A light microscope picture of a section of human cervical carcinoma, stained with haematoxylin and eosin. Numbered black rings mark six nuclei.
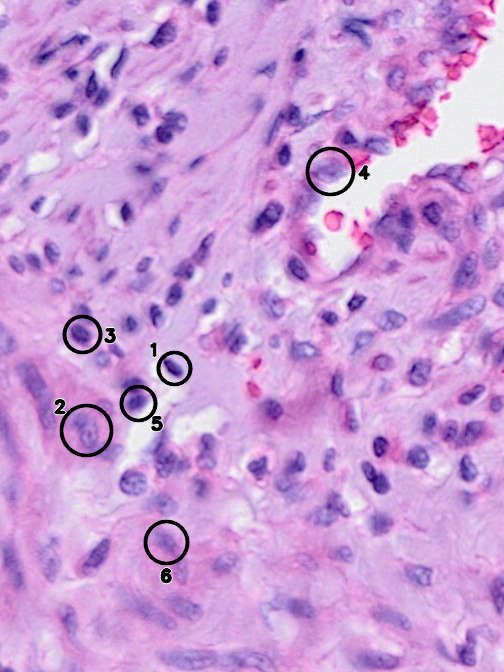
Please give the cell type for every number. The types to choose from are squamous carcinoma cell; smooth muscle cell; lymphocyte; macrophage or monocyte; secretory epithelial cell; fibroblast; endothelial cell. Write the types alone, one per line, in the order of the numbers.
lymphocyte
smooth muscle cell
lymphocyte
endothelial cell
lymphocyte
smooth muscle cell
